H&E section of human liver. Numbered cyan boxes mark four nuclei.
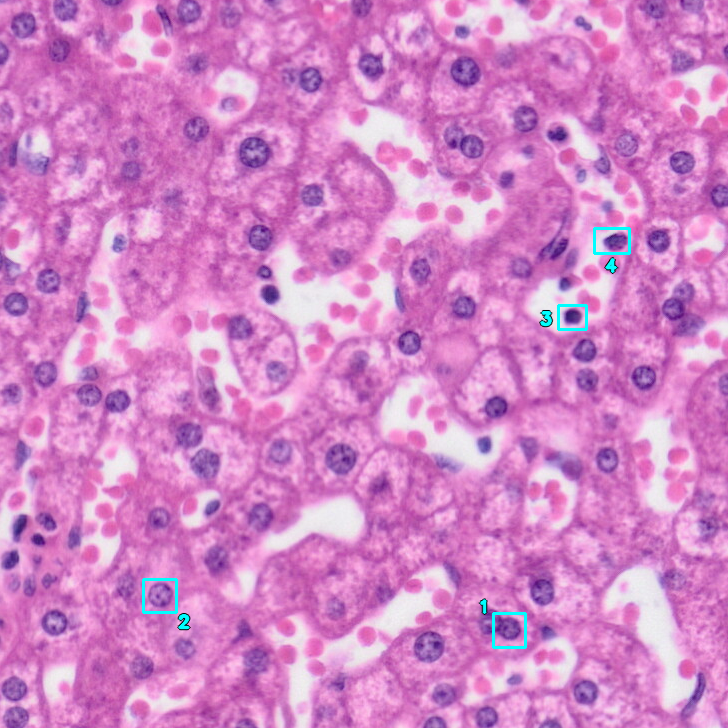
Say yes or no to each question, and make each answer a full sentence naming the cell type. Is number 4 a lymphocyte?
Yes, the cell numbered 4 in this tissue is a lymphocyte.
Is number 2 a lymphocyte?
No, cell 2 is correctly identified as a hepatocyte and not as a lymphocyte.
